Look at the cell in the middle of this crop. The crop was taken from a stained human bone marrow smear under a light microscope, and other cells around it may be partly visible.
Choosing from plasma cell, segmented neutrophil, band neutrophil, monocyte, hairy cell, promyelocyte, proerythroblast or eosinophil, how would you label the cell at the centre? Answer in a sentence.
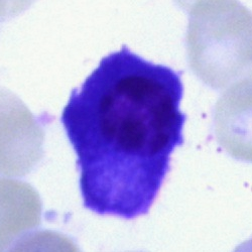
The cell centred in this crop is categorized as a plasma cell.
